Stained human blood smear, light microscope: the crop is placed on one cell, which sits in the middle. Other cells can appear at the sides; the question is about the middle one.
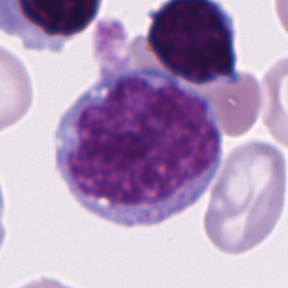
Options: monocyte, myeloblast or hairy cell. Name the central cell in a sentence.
The central element of this crop is a cell, namely a monocyte.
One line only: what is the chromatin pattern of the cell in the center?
Chromatin texture is fine, and coarse clumps are absent.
